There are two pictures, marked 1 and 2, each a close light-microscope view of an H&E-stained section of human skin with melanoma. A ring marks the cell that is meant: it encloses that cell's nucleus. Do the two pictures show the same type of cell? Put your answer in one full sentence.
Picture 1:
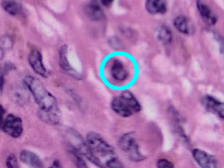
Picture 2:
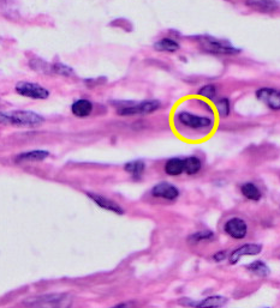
Yes; the cells in both pictures are plasma cells.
